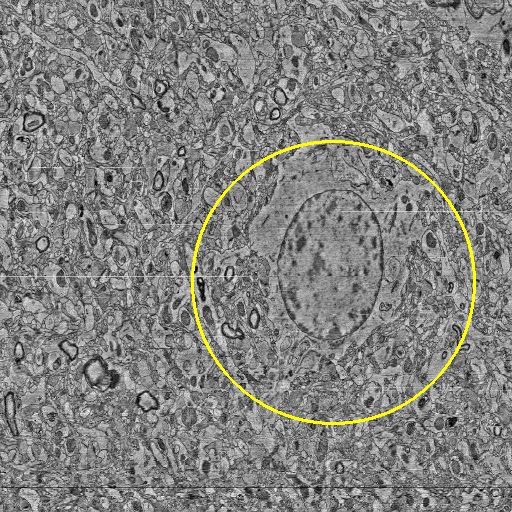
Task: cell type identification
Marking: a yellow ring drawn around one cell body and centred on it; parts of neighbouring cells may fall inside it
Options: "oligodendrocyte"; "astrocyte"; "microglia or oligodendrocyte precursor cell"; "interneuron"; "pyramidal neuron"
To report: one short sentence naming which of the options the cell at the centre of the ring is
The cell at the centre of the ring is an astrocyte.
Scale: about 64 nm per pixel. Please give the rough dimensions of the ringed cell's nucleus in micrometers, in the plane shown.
In this plane the nucleus is roughly 10 by 7 micrometres, clearly longer than it is wide.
